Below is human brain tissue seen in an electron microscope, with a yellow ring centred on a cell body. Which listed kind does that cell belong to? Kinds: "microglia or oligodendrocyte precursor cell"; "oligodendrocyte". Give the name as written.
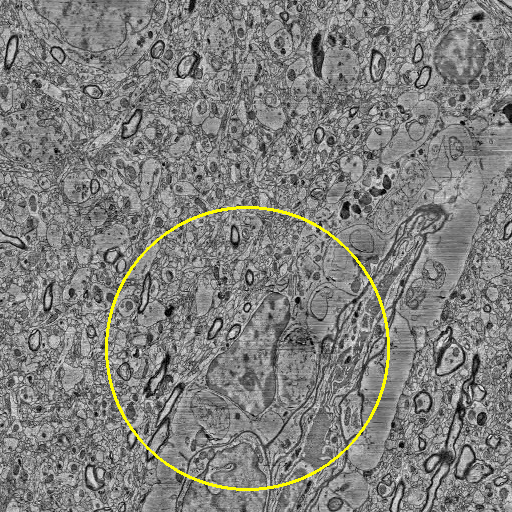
microglia or oligodendrocyte precursor cell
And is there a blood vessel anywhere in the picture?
Yes, there is a blood vessel.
